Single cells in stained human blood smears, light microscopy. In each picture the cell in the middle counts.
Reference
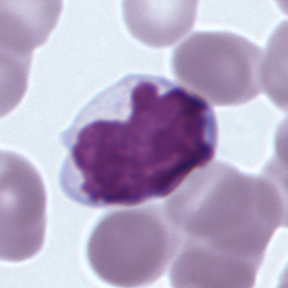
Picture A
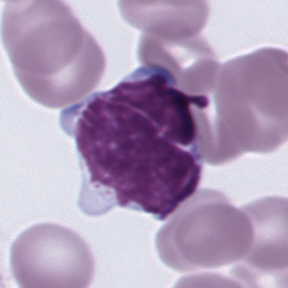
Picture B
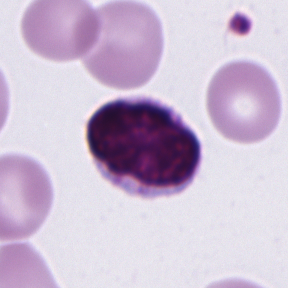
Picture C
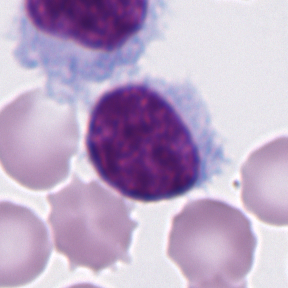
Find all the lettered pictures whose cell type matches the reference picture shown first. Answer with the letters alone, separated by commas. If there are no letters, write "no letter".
A, B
